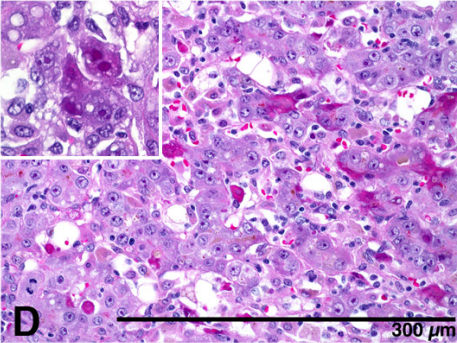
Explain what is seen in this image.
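Liver tissue of hepatocytes with pale pink cytoplasm and round nuclei, many containing clear vacuoles of small and large size. Scattered among them are cells stained deep magenta with irregular, distorted outlines. The inset at higher magnification shows such a cell with granular dark pink cytoplasm beside vacuolated hepatocytes.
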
